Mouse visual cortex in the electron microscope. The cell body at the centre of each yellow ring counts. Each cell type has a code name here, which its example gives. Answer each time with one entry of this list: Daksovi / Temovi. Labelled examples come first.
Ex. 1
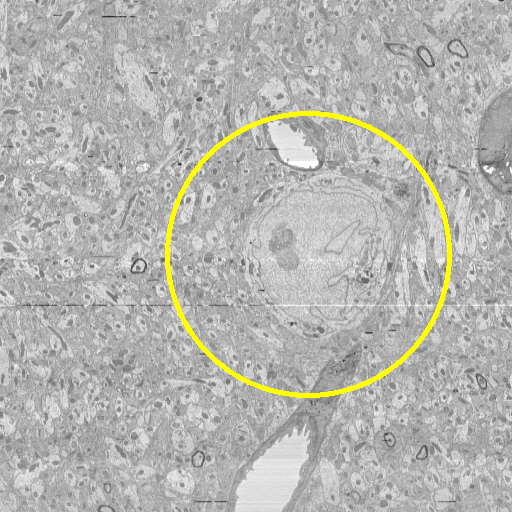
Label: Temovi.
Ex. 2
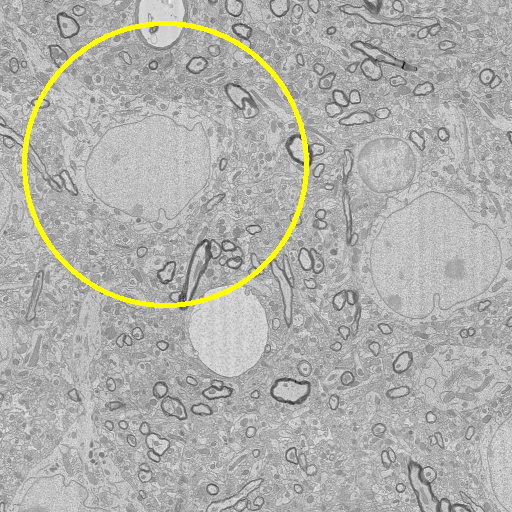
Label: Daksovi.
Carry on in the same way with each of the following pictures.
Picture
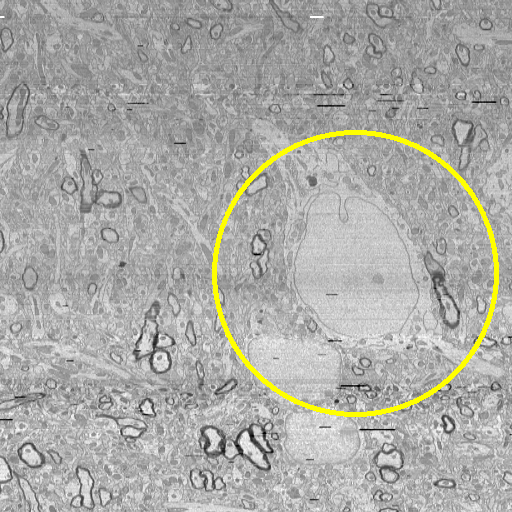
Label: Daksovi.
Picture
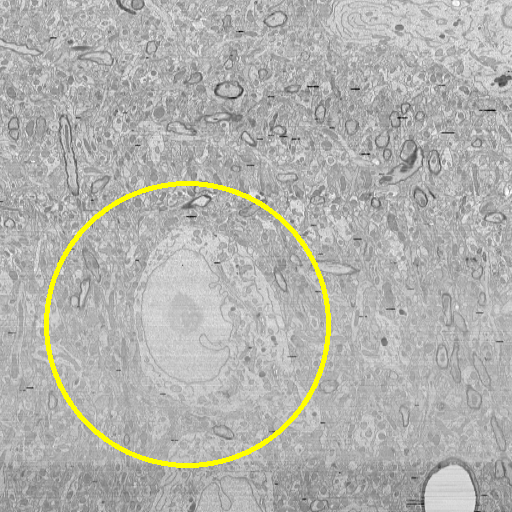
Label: Temovi.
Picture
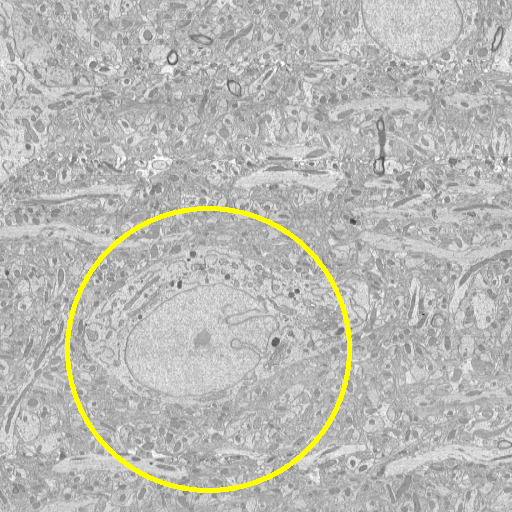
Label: Temovi.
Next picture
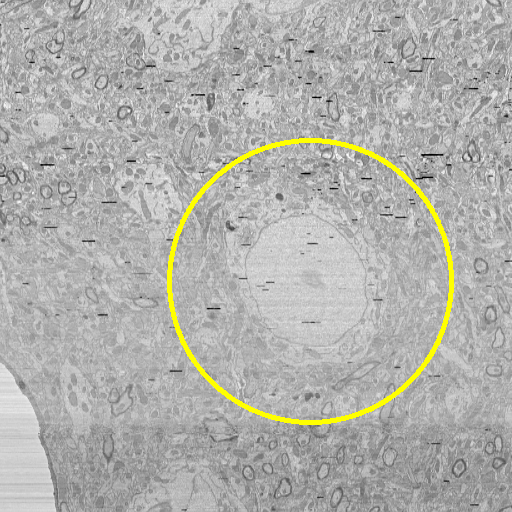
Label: Daksovi.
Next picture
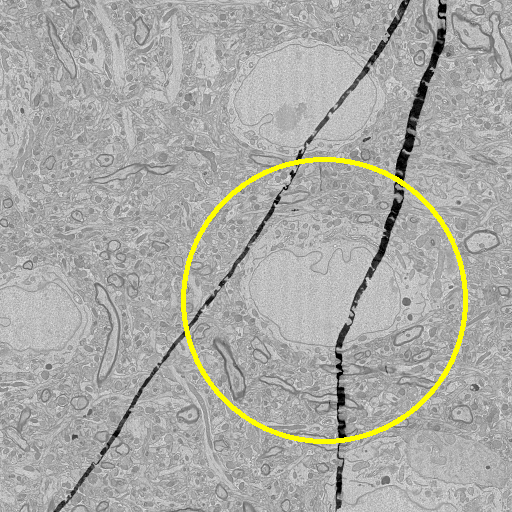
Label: Daksovi.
